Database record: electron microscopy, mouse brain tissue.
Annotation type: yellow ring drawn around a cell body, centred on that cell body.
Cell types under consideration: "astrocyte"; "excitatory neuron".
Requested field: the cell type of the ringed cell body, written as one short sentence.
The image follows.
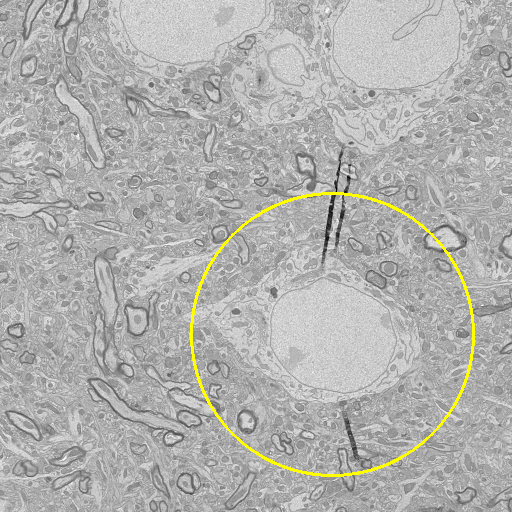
The ringed cell body represents an excitatory neuron.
